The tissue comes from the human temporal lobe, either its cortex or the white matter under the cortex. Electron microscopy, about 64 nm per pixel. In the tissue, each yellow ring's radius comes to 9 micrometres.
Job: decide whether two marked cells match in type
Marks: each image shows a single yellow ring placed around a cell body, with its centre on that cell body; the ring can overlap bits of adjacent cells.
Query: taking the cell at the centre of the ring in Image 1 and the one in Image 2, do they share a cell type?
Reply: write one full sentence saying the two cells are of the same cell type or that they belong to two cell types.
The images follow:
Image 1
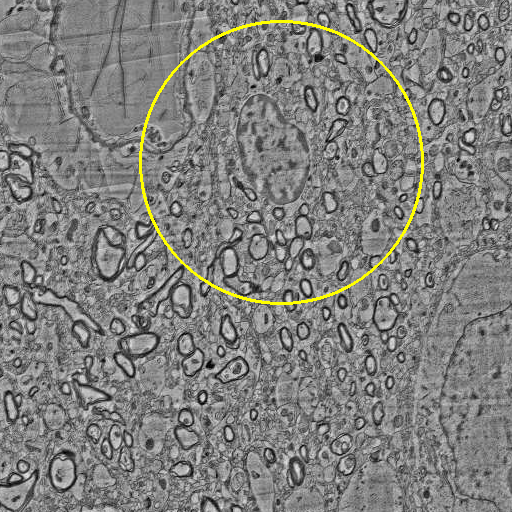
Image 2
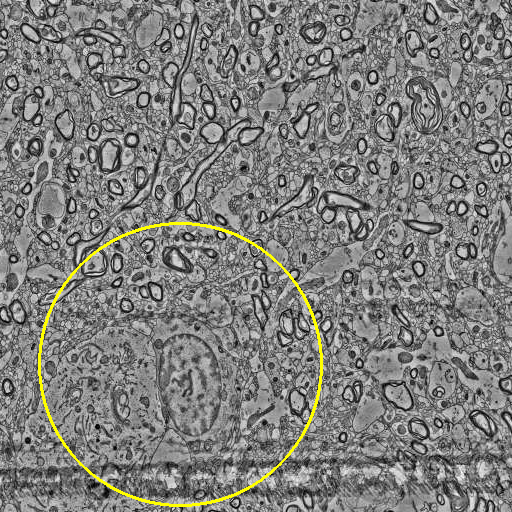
The cells at the ring centres in Image 1 and Image 2 belong to two cell types.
